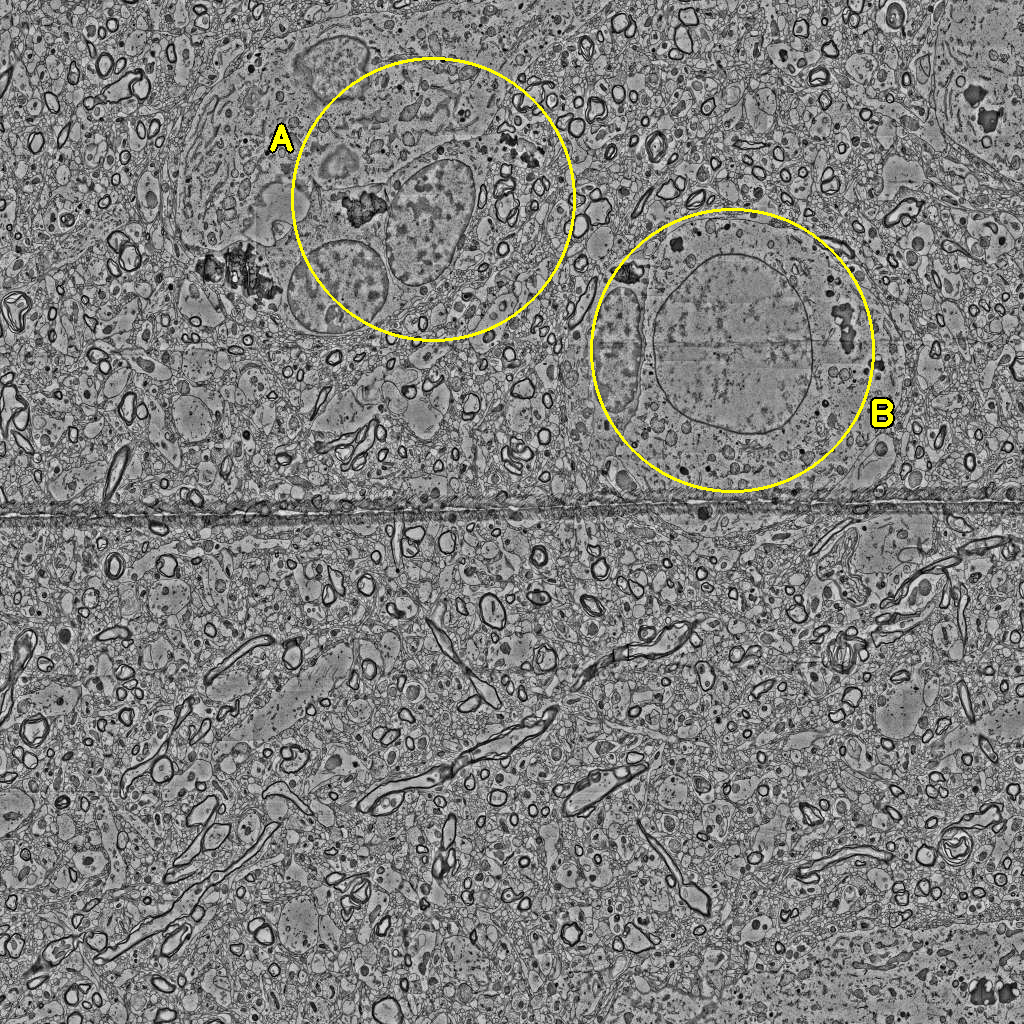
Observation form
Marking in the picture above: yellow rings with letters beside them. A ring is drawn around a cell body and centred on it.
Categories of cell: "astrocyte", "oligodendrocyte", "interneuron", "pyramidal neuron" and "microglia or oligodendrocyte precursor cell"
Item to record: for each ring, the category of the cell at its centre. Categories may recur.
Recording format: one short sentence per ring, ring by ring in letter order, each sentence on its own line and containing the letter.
Ring A is placed on an oligodendrocyte.
Ring B is placed on a pyramidal neuron.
